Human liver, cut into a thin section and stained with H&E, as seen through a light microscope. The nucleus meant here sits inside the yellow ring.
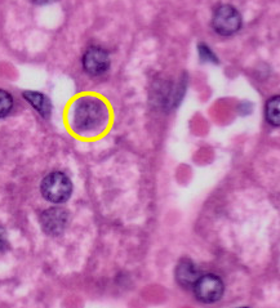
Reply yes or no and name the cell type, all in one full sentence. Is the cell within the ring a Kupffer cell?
No, the cell within the ring is a hepatocyte in this section, not a Kupffer cell.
